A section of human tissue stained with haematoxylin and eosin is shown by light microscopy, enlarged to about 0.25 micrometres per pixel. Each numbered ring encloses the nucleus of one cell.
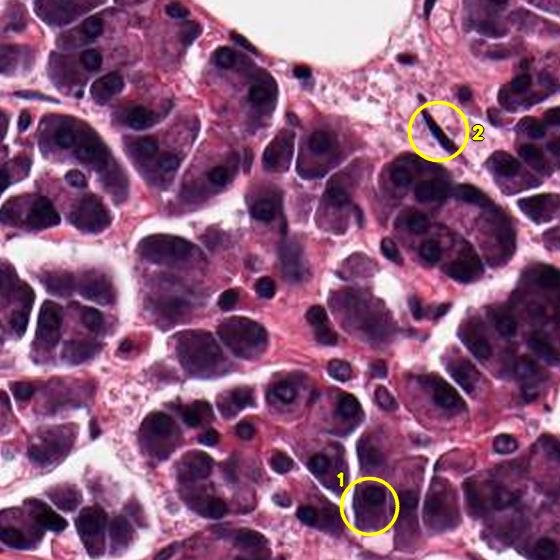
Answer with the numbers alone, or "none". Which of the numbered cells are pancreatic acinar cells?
1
